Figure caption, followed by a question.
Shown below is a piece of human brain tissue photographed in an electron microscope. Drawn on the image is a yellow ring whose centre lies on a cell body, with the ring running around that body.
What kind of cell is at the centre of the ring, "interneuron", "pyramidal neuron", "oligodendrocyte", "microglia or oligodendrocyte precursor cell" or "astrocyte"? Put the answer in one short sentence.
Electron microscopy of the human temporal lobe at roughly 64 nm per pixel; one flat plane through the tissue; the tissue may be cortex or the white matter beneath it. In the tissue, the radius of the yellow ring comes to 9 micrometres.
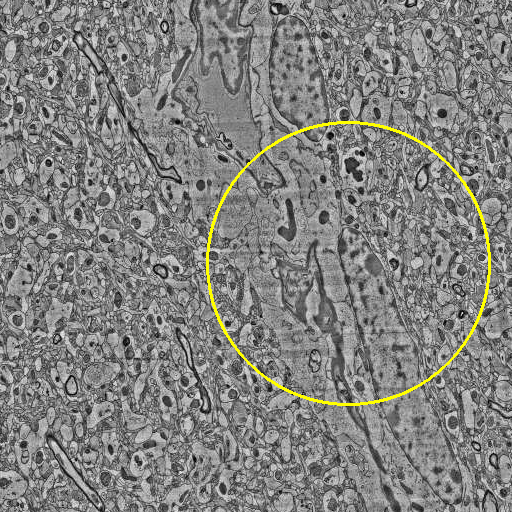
The ring marks the cell body of a microglial cell or oligodendrocyte precursor cell.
